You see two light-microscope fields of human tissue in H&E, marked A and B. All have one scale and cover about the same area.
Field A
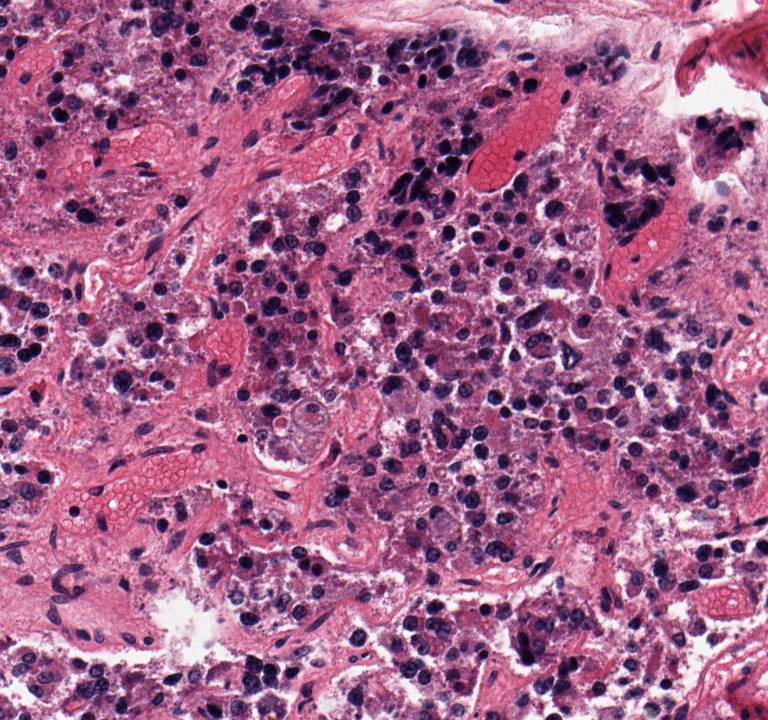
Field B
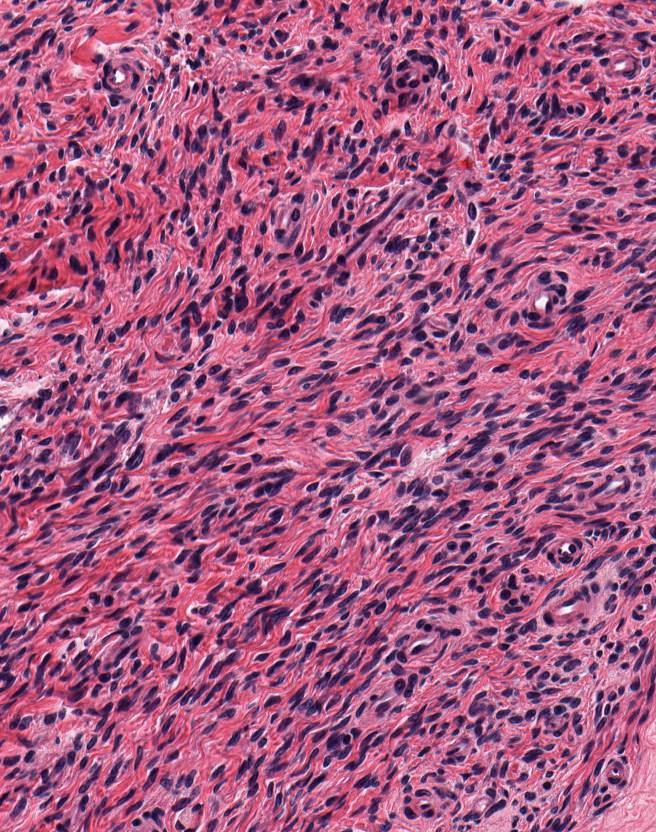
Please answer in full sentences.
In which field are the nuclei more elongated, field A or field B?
Longer, more slender nuclei lie in field B.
